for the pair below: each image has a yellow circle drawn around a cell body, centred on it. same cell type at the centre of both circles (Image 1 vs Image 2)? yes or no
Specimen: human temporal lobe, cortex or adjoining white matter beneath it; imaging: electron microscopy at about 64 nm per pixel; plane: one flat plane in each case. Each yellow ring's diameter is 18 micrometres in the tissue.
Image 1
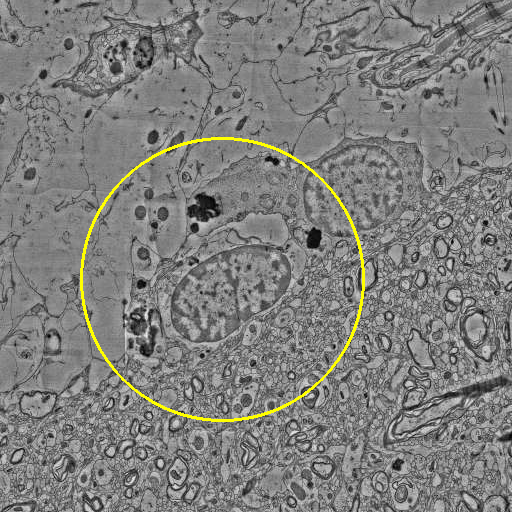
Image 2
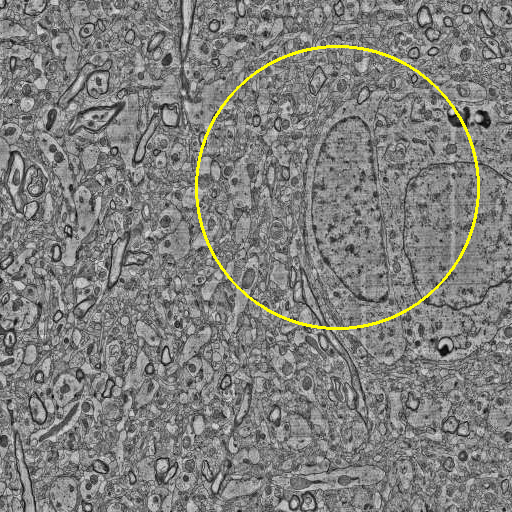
yes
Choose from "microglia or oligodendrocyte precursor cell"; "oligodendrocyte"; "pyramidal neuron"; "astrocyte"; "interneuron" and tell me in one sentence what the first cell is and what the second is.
The second cell is a microglial cell or oligodendrocyte precursor cell, just as the first is.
